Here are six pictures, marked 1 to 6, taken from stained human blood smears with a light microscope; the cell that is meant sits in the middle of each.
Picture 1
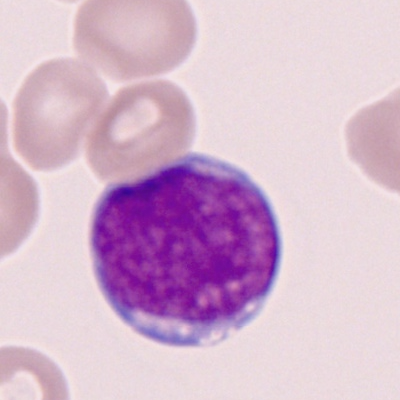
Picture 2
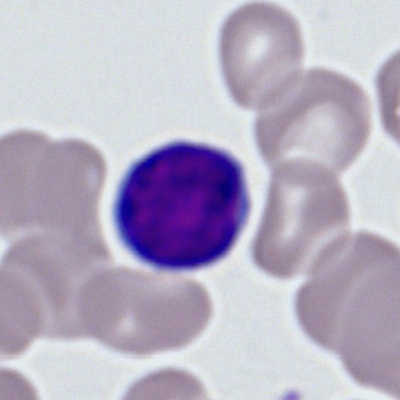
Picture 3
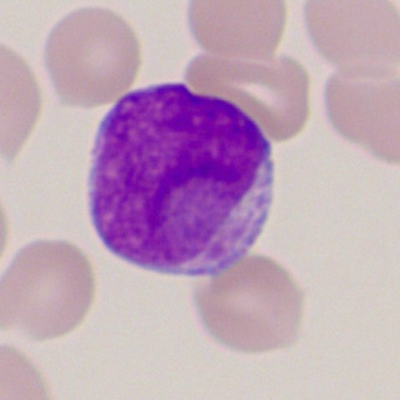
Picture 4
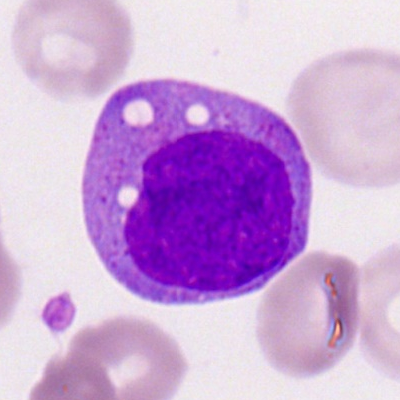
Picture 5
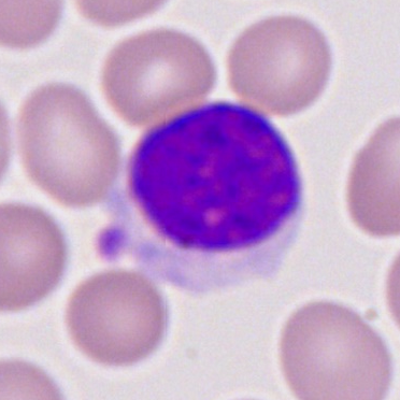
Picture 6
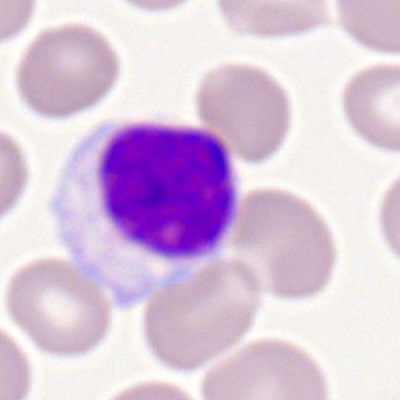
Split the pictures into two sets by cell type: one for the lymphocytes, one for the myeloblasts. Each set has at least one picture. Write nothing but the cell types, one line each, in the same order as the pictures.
myeloblast
lymphocyte
myeloblast
myeloblast
lymphocyte
lymphocyte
